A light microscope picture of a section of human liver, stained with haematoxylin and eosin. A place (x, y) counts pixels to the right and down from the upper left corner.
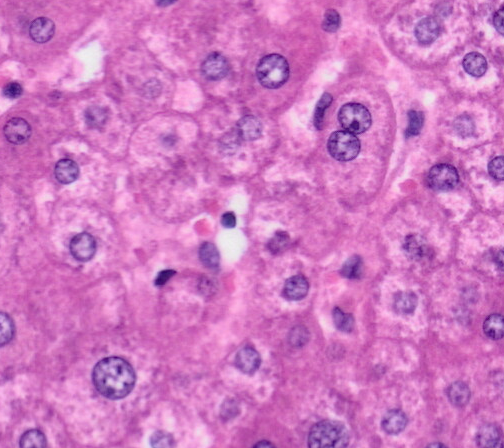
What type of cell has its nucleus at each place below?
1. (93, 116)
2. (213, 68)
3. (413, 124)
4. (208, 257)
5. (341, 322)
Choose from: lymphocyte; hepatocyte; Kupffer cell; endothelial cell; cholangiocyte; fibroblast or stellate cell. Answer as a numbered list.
1. hepatocyte
2. hepatocyte
3. Kupffer cell
4. Kupffer cell
5. Kupffer cell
